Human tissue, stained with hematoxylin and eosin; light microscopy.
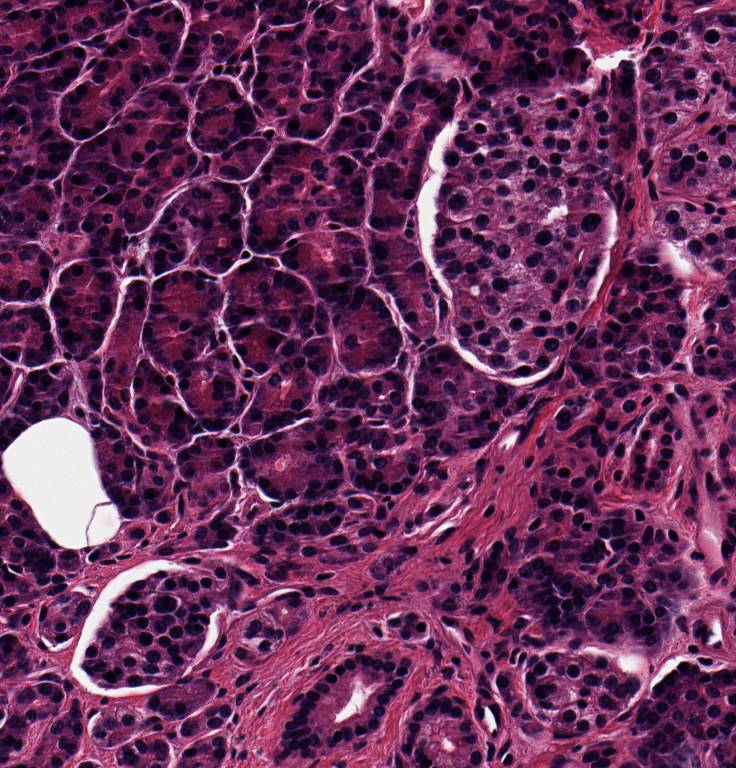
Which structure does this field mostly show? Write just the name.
exocrine pancreas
